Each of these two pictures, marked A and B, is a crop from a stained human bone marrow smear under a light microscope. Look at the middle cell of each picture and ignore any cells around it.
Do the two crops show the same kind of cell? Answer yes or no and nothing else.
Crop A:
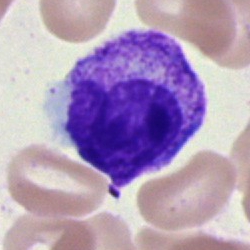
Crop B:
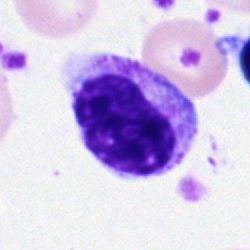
yes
